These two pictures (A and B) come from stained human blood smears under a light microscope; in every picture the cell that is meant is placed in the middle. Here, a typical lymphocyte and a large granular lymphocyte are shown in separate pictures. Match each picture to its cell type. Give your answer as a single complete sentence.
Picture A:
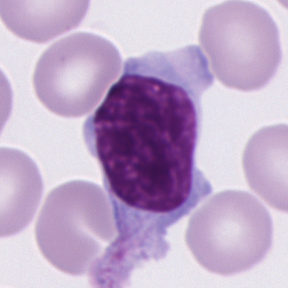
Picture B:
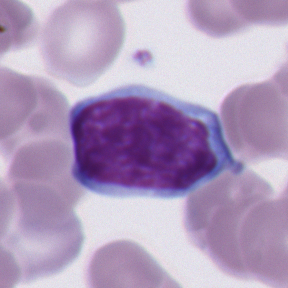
The cell in picture A is a large granular lymphocyte, and the one in picture B is a typical lymphocyte.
